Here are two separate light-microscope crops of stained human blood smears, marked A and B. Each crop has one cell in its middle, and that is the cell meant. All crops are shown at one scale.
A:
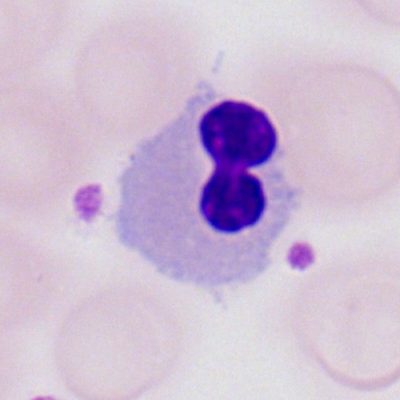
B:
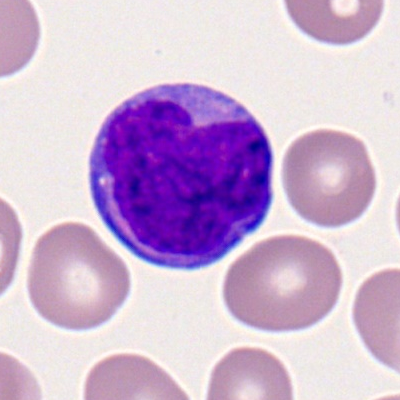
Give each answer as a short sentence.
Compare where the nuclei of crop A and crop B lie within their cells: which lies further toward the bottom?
In crop B the nucleus is shifted more toward the bottom.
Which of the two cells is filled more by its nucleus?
It is the cell in crop B that is filled more by its nucleus.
